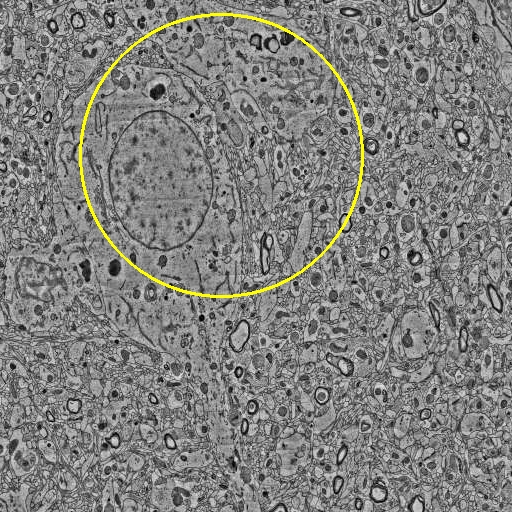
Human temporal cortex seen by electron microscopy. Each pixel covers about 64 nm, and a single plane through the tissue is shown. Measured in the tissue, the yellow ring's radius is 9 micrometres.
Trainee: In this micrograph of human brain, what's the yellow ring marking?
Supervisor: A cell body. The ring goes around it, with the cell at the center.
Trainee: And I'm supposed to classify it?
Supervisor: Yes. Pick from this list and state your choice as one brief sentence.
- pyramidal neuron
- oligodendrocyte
The cell at the ring's center is an oligodendrocyte.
